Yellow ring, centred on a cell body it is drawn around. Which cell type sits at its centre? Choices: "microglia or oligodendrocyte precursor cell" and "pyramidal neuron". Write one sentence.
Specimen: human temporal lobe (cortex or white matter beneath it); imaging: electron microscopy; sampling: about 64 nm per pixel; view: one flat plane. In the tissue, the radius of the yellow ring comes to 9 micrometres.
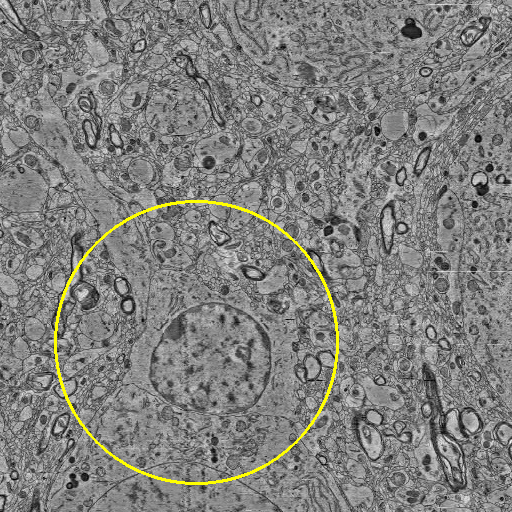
At the centre of the ring sits a microglial cell or oligodendrocyte precursor cell.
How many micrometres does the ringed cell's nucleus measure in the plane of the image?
The nucleus appears about 8 micrometres across in this plane.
